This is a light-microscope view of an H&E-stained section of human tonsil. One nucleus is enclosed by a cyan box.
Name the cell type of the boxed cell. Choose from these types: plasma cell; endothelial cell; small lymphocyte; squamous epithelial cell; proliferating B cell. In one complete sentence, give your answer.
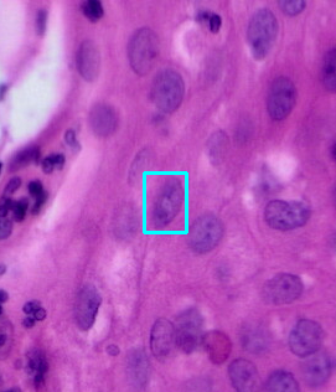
Considered by cell type, the boxed cell is a squamous epithelial cell.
